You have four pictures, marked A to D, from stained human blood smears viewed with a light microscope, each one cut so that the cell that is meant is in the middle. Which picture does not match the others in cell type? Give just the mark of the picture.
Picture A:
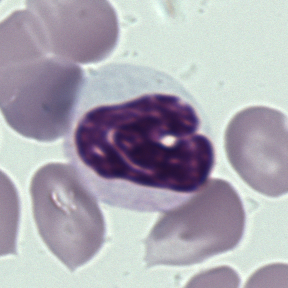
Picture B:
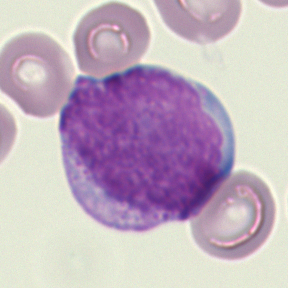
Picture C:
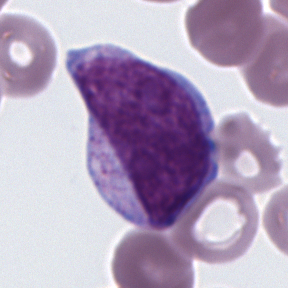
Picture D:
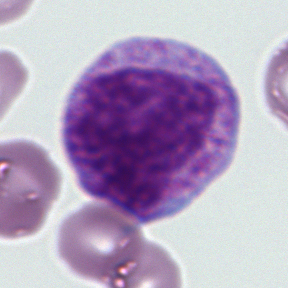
A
